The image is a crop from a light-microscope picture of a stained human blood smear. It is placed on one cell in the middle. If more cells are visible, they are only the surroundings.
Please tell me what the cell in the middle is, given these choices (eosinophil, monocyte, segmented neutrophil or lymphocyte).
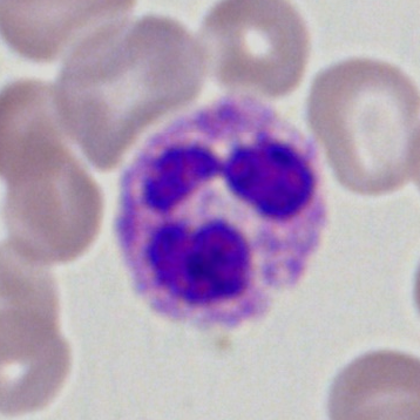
segmented neutrophil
